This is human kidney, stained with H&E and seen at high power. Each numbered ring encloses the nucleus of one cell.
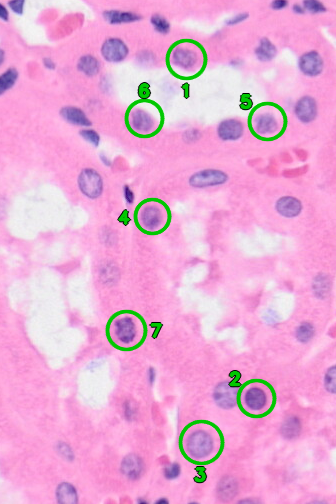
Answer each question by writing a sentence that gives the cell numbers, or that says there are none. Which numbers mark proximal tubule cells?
The cells which carry the numbers 2, 3, 4 and 7 are proximal tubule cells.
